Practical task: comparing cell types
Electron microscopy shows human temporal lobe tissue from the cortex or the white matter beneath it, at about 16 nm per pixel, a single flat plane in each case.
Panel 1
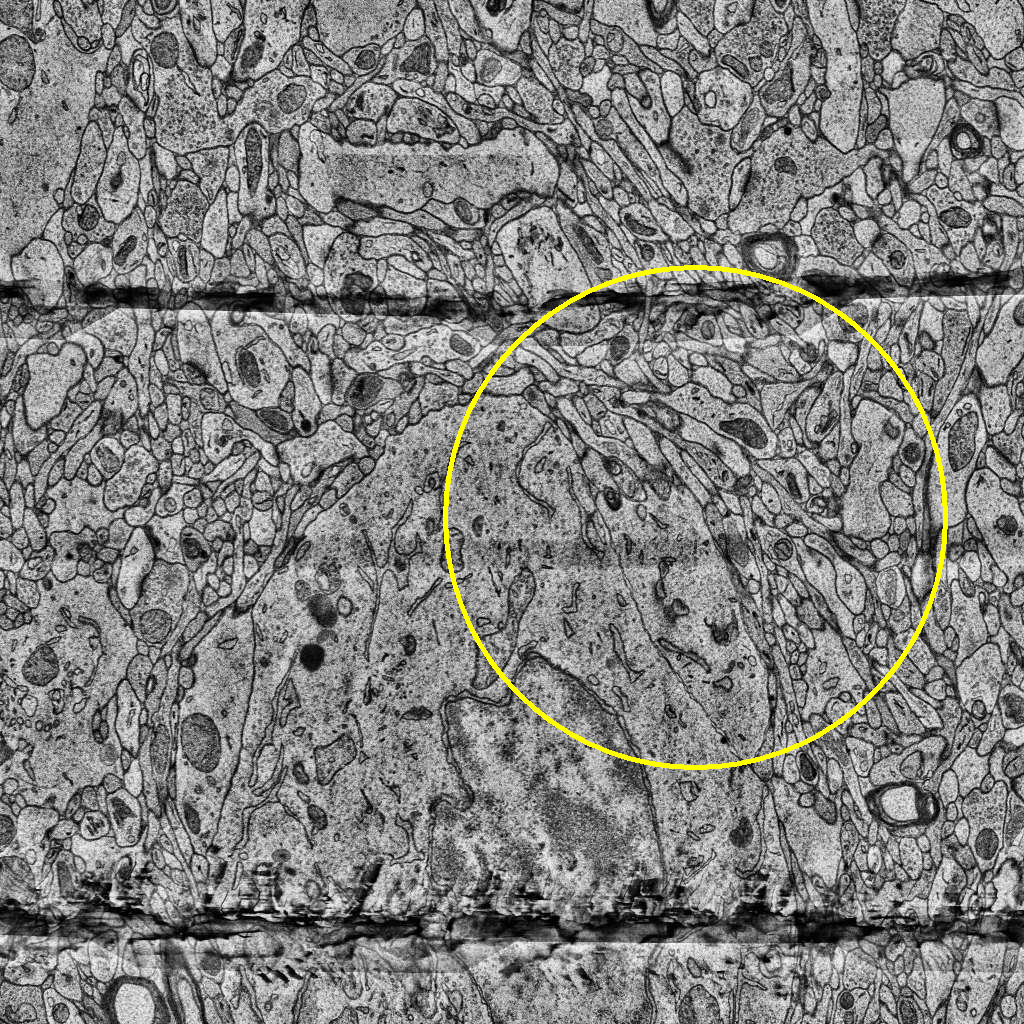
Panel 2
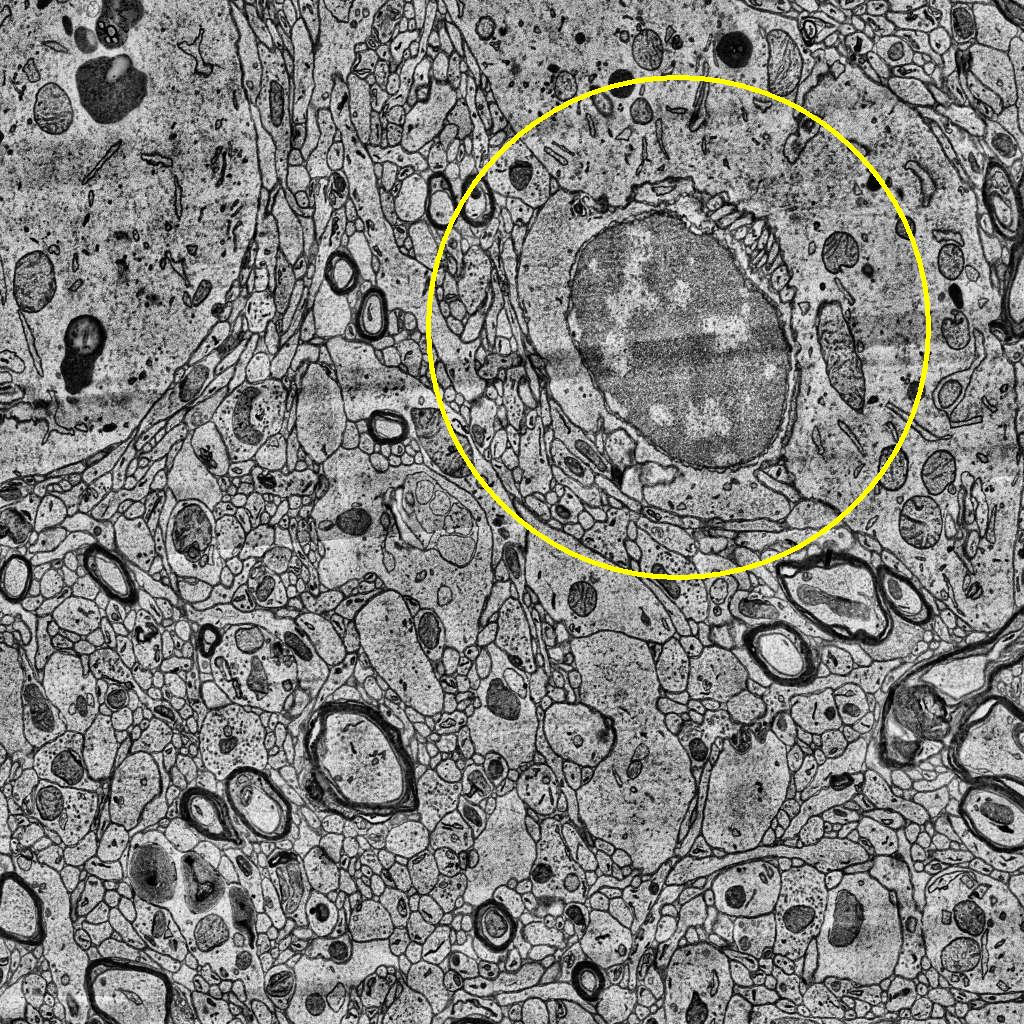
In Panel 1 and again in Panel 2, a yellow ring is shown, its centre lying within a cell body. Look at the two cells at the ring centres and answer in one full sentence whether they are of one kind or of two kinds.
The two cells sitting at the ring centres of Panels 1 and 2 are of one kind.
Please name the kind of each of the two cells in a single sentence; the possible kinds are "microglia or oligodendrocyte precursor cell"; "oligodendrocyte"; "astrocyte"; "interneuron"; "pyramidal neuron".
Both cells are the same kind, each one being a microglial cell or oligodendrocyte precursor cell.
